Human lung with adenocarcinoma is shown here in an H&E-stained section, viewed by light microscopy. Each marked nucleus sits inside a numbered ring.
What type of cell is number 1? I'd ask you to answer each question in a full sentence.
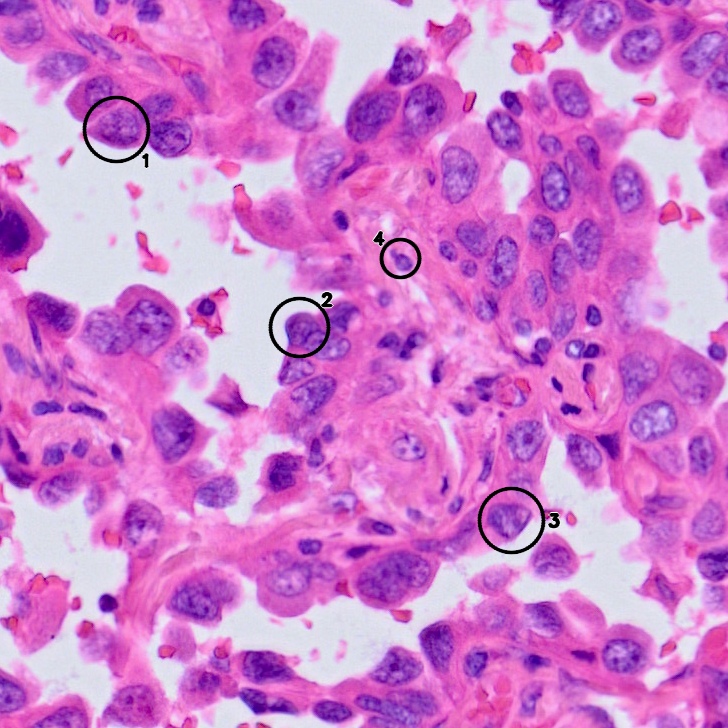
To a carcinoma cell belongs the nucleus marked 1.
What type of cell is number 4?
Cell 4 should be recorded as a lymphocyte.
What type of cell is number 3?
The nucleus labelled 3 belongs to a carcinoma cell.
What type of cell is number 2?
The nucleus labeled 2 belongs to a carcinoma cell.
